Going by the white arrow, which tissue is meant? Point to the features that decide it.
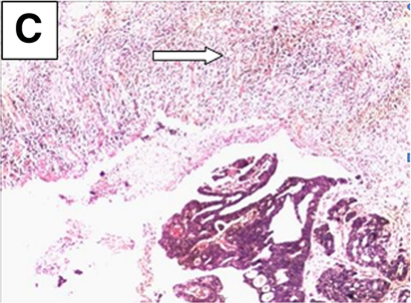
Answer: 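Inflammatory tissue. The arrow points into a broad band of densely packed small dark nuclei without glandular structure. Glandular epithelial tissue with stratified purple nuclei lies below this band.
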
